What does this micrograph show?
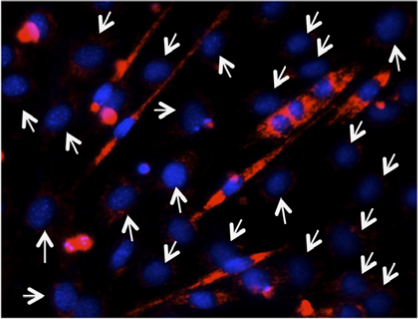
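These are cultured muscle cells in which a few elongated, spindle-shaped myotubes stand out by strong red fluorescence along their length. Several of these long cells contain blue nuclei lying within the red cytoplasm. Around them lie many oval blue nuclei of undifferentiated cells whose cytoplasm shows little or no red. White arrows point to many of these weakly red cells.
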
